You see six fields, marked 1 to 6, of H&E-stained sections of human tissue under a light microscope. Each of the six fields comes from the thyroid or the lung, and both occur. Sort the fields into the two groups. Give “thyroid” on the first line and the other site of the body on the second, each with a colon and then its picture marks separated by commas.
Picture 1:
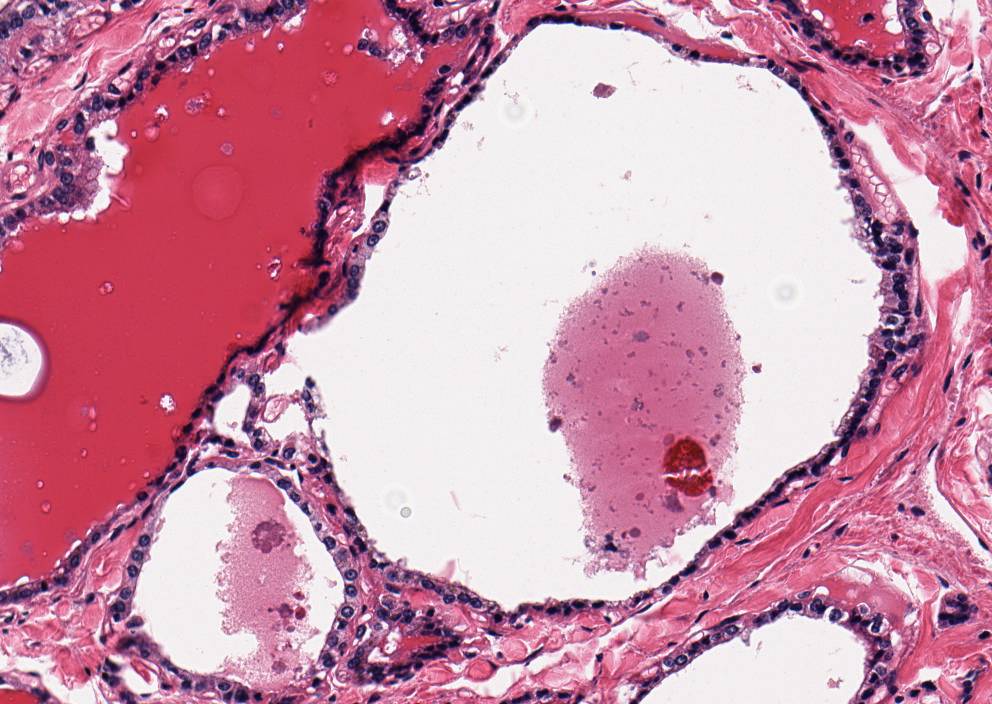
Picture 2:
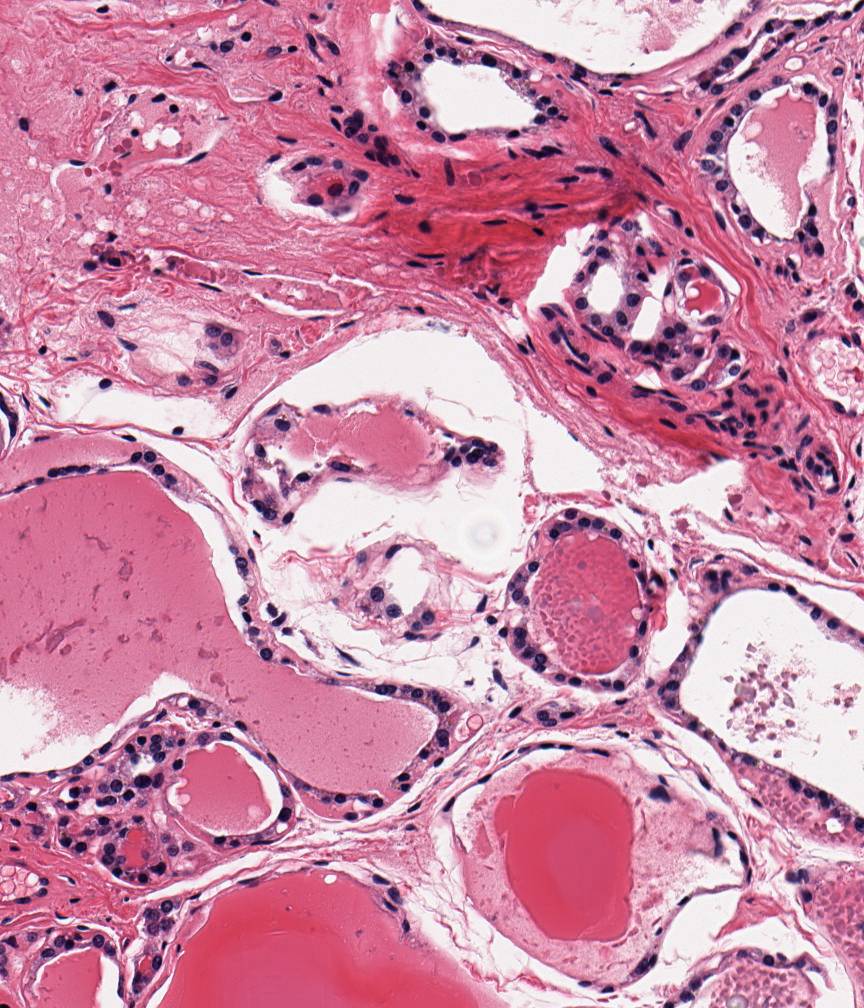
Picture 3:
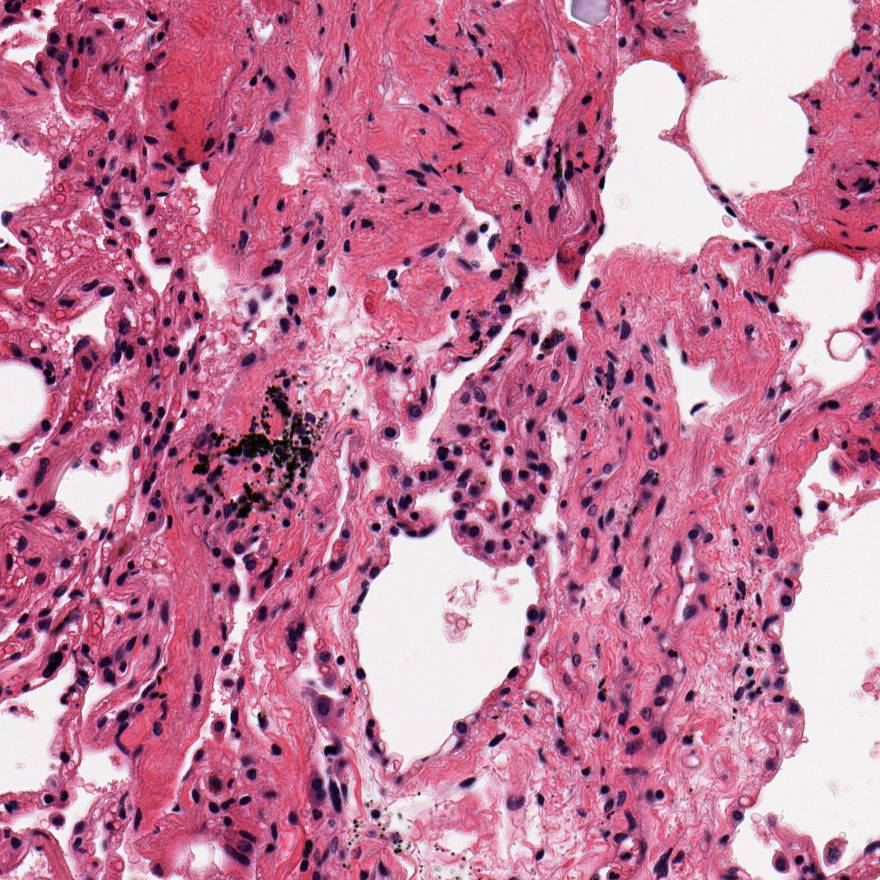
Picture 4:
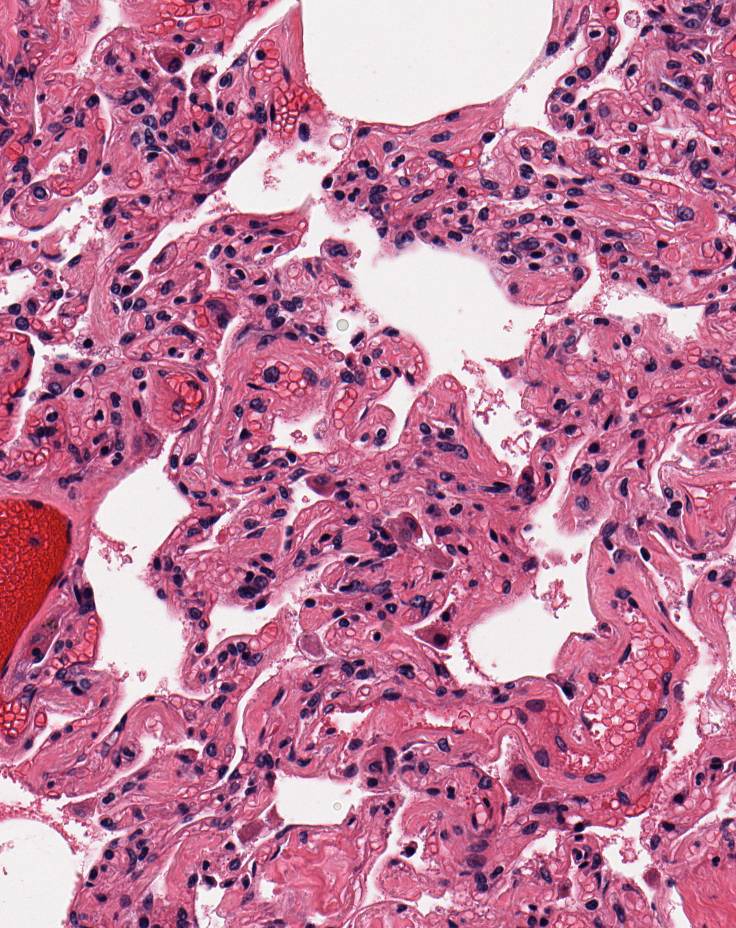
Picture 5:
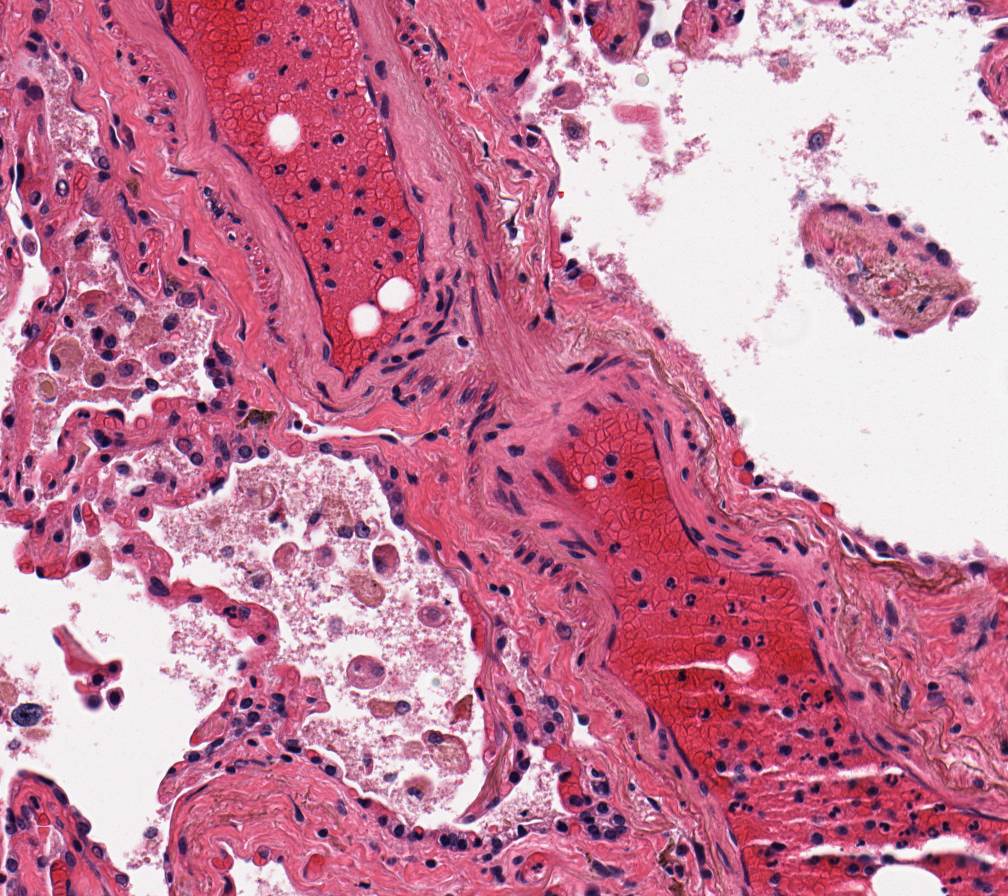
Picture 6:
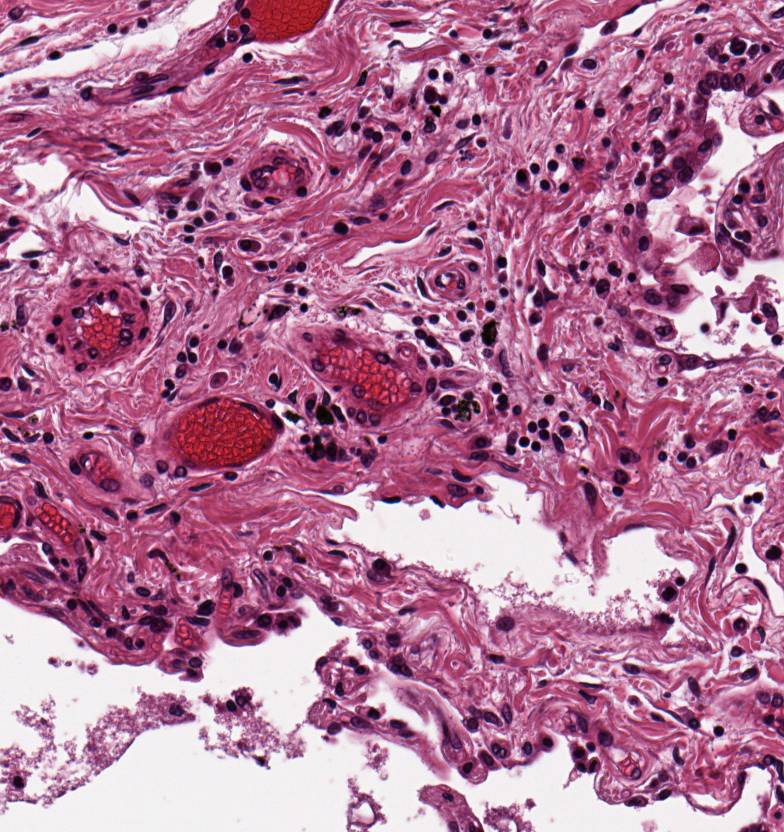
thyroid: 1, 2
lung: 3, 4, 5, 6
